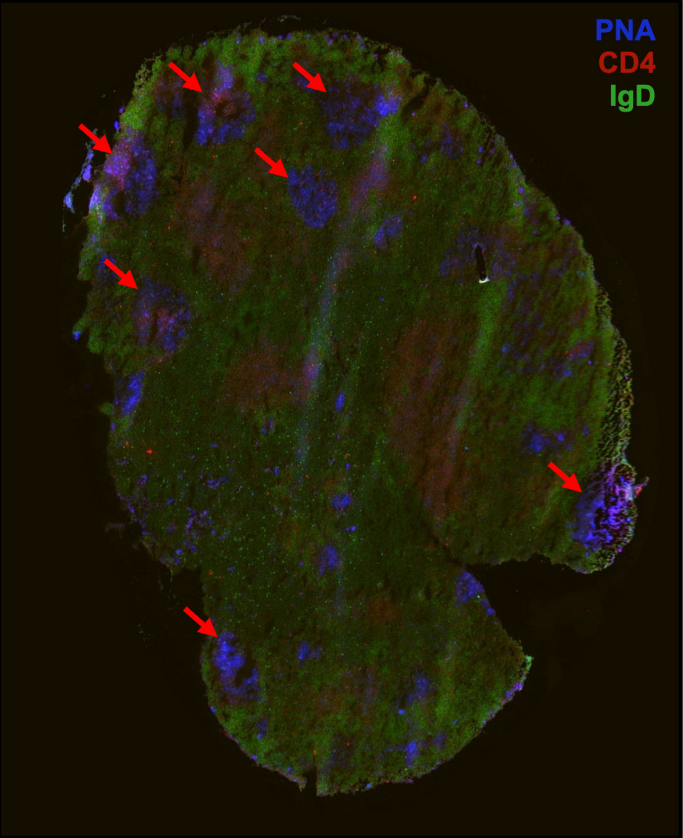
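This is a whole section of a lymph node seen at low magnification, with tissue architecture rather than single cells visible. Green staining spreads across much of the section and is brightest toward the outer rim. Numerous rounded blue patches of varying size lie scattered through the tissue, several of them close to the edge of the section. Between the green regions are duller reddish-brown zones. Red arrows point to several of the larger blue patches.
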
